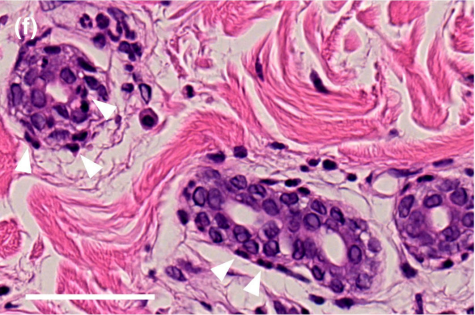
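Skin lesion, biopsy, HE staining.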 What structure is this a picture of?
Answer: eccrine glands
